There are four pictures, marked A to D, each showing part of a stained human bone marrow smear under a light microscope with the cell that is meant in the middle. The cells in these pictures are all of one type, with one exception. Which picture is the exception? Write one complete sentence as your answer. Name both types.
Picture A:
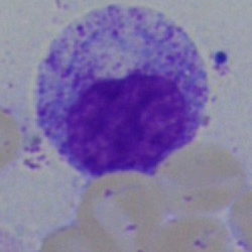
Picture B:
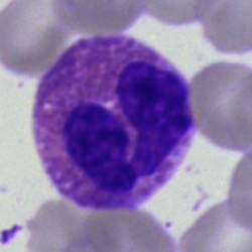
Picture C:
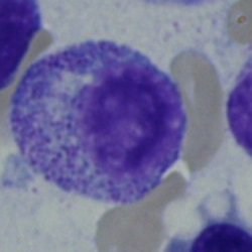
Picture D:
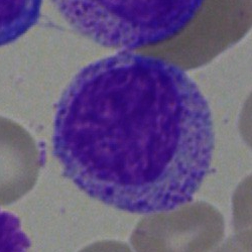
All pictures except B show myelocytes; picture B shows an eosinophil.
